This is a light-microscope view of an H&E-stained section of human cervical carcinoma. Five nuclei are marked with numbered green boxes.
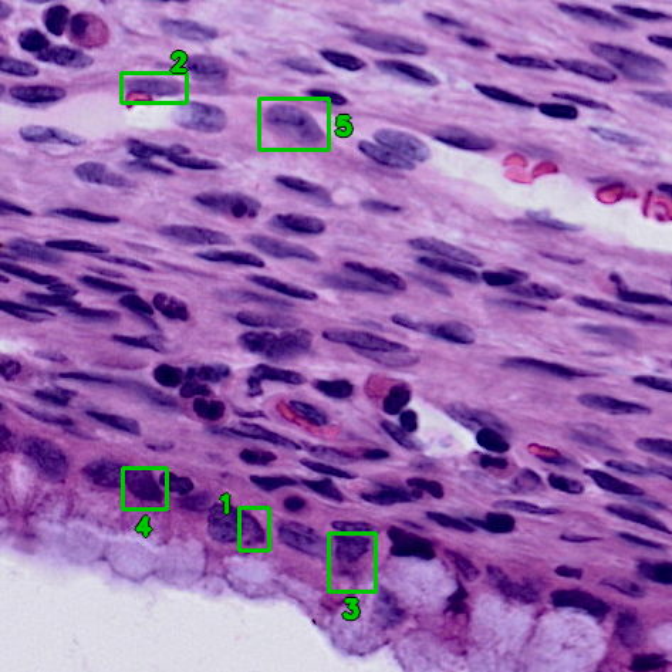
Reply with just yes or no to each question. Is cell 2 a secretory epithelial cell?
no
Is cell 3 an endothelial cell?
no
